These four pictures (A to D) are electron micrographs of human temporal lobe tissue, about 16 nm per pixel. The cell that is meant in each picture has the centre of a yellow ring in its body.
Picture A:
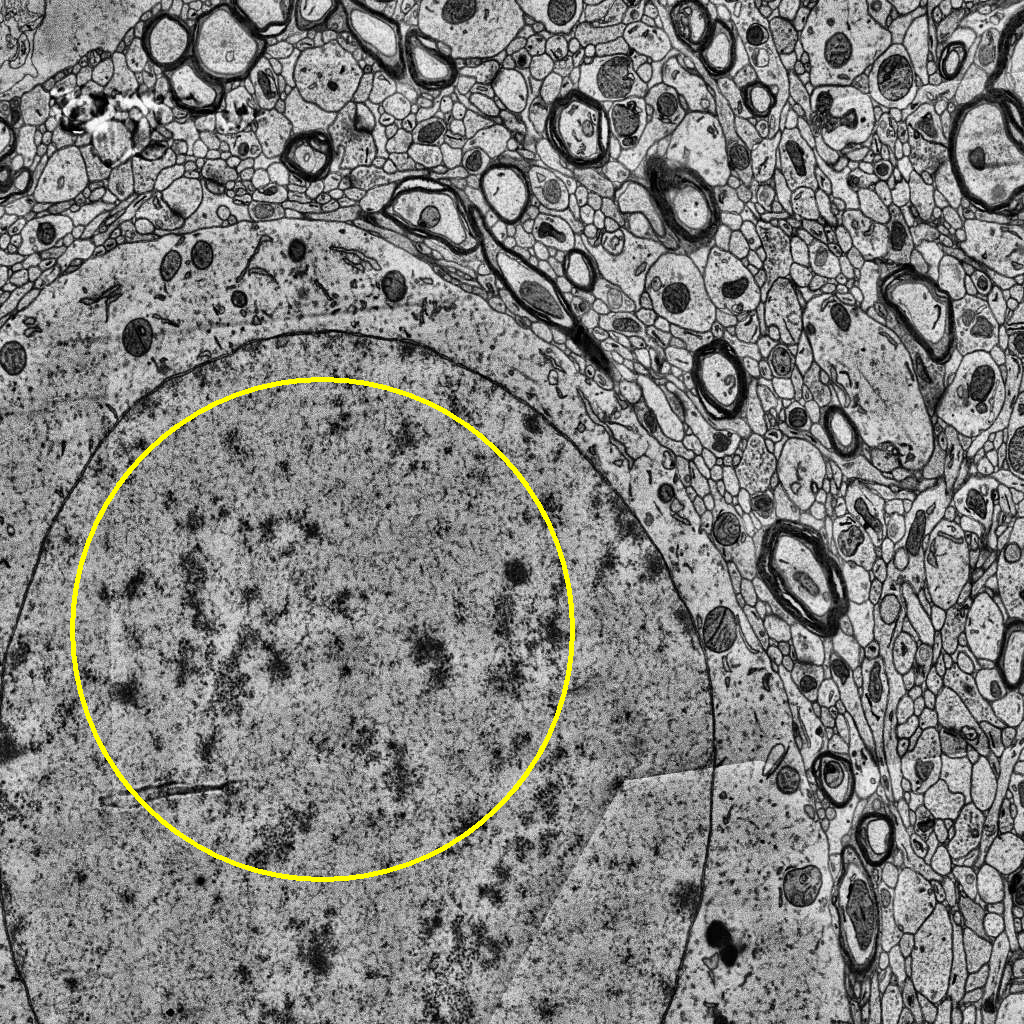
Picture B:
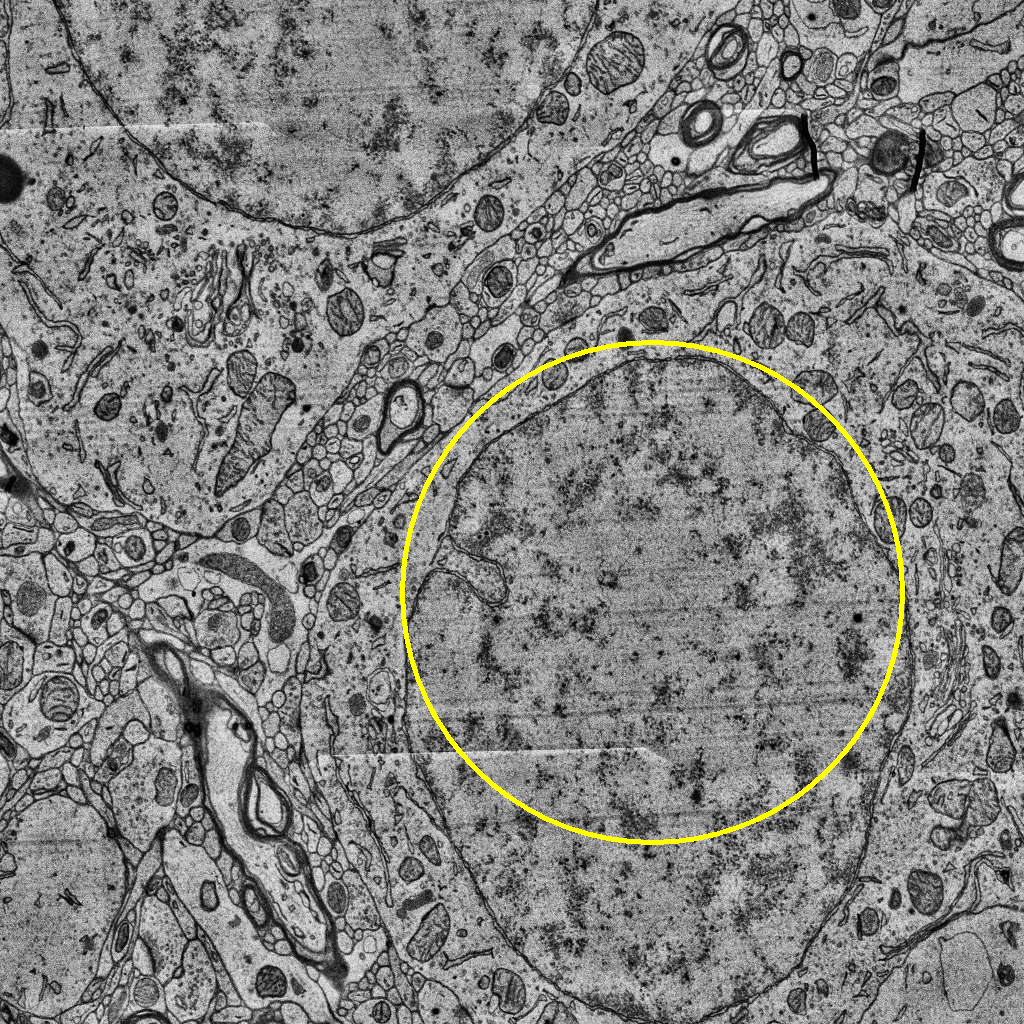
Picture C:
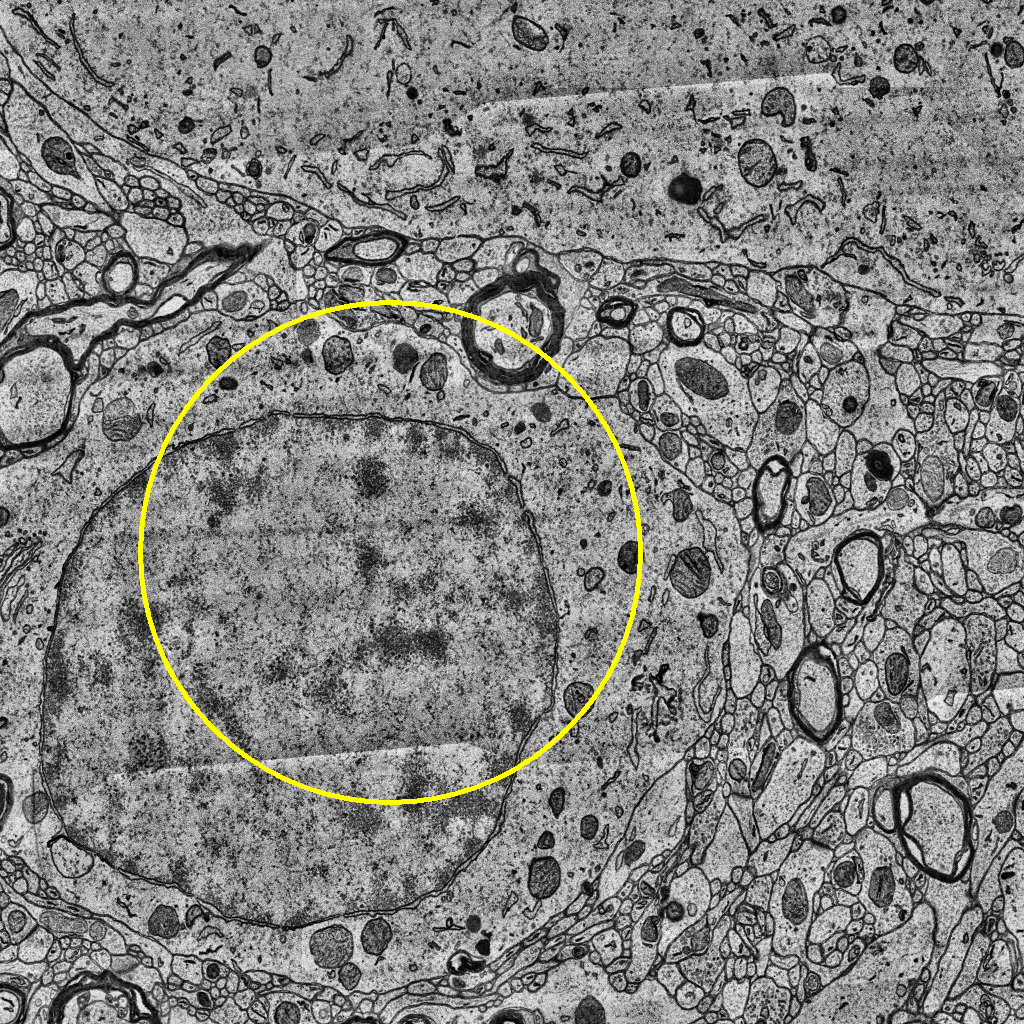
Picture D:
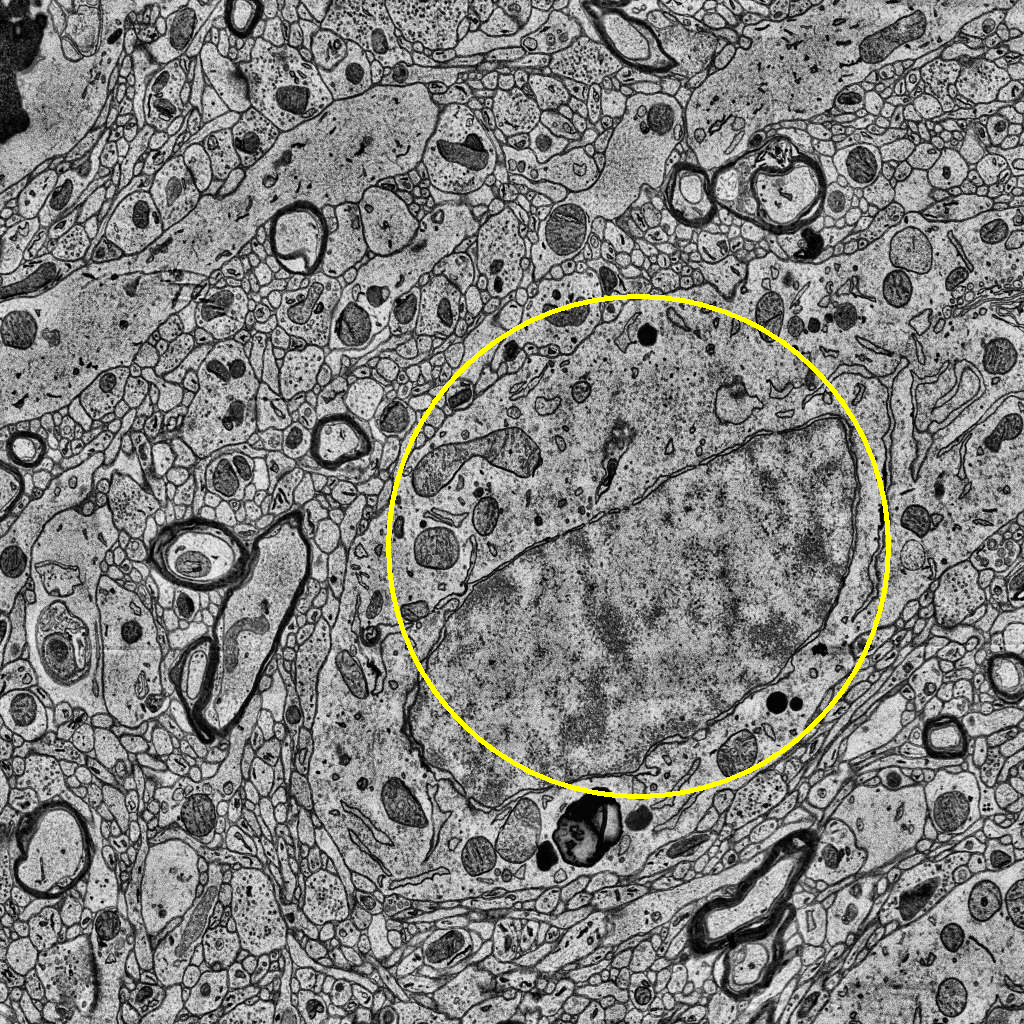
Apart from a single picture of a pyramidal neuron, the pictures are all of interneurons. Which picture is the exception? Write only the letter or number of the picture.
A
